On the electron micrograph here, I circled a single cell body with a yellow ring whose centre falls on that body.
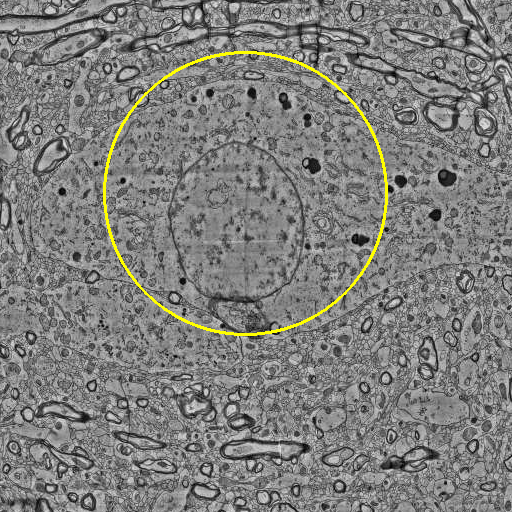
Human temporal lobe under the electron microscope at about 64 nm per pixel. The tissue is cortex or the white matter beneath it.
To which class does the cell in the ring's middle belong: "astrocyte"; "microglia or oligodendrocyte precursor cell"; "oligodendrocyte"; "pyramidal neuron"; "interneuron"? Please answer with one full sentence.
In this picture, the cell body circled at the ring's centre belongs to a pyramidal neuron.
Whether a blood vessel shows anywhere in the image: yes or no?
No, a blood vessel is absent from this picture.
